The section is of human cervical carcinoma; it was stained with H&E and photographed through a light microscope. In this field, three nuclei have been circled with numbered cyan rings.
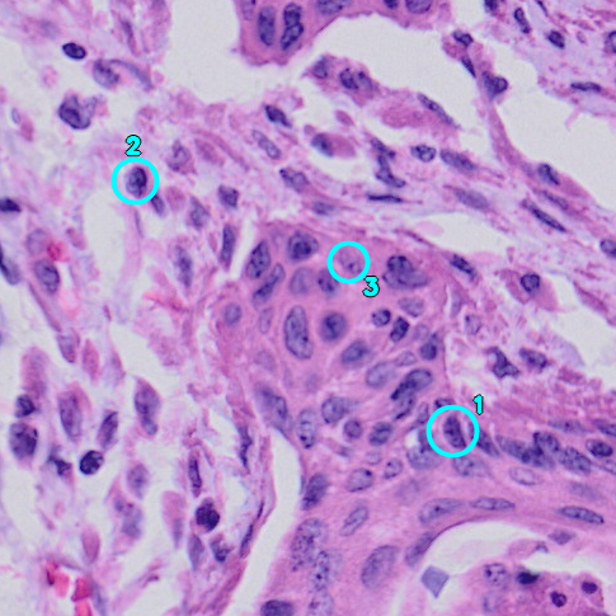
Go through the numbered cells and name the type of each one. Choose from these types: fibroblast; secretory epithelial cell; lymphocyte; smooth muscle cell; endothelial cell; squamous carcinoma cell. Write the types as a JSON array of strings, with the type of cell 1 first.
["squamous carcinoma cell", "lymphocyte", "squamous carcinoma cell"]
